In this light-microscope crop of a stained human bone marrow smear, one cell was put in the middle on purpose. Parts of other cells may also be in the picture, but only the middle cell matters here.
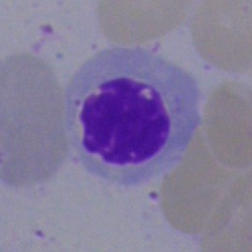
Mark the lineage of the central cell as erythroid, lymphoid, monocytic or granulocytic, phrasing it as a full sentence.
The cell in the middle falls under the erythroid lineage.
